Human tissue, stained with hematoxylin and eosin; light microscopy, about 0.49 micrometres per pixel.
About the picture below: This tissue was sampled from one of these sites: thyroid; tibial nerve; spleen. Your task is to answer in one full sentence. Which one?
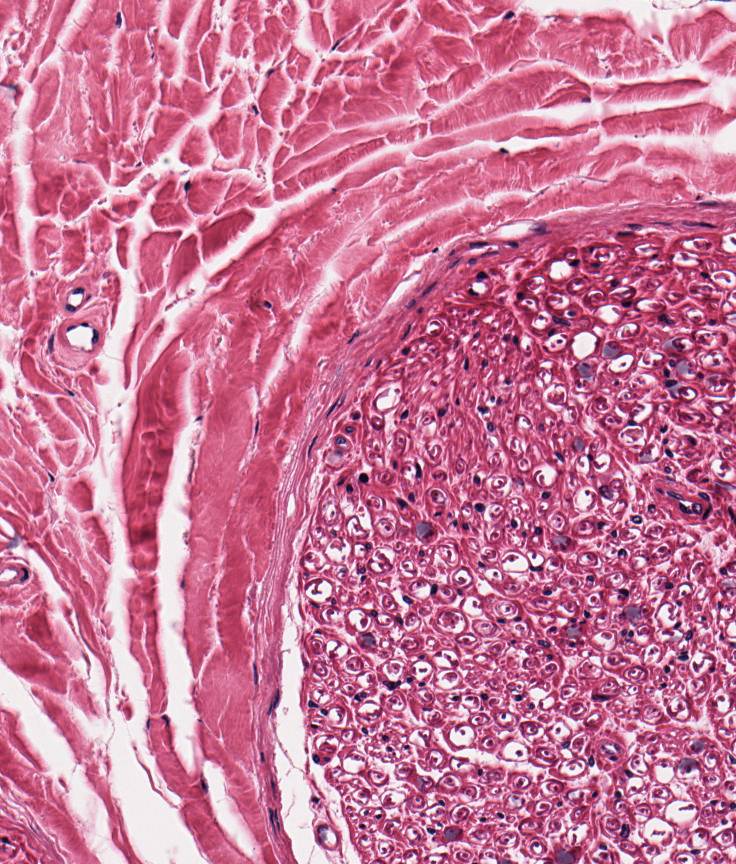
This mounted section holds tissue from the tibial nerve.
